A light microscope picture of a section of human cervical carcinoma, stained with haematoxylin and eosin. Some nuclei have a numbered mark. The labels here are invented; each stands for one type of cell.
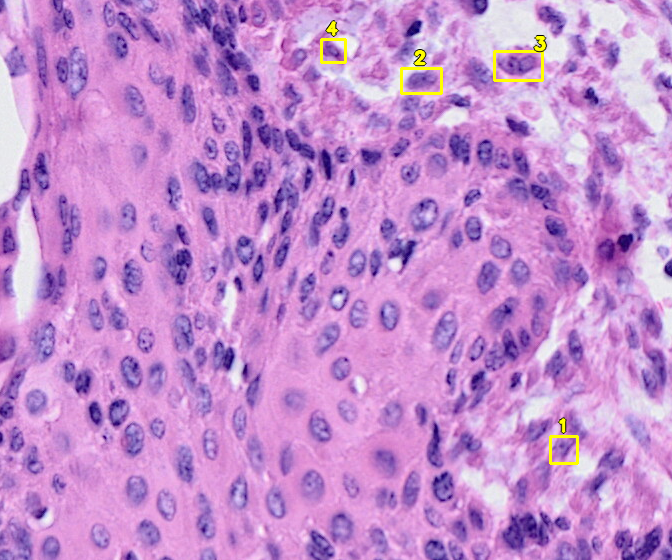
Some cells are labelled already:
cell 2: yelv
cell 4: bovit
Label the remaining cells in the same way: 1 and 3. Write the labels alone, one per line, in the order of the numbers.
bovit
yelv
